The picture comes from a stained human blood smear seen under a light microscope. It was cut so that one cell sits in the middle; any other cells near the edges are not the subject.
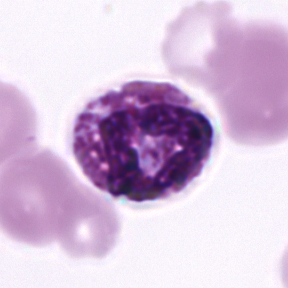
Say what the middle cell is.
eosinophil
